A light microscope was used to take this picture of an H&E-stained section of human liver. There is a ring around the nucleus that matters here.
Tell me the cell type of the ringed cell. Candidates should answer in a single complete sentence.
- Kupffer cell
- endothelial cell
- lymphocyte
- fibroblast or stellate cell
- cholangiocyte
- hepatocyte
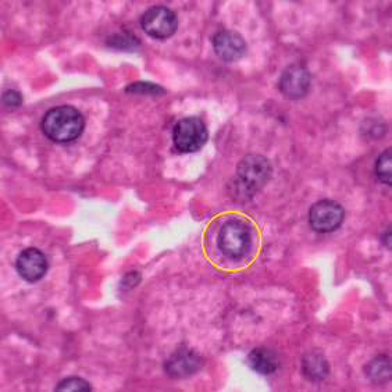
Just put down that the ringed cell is a hepatocyte.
